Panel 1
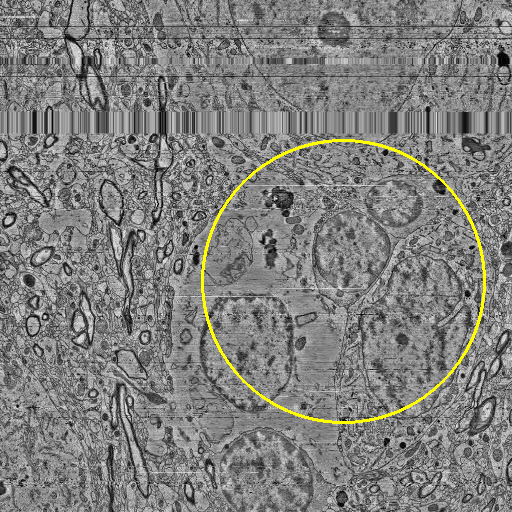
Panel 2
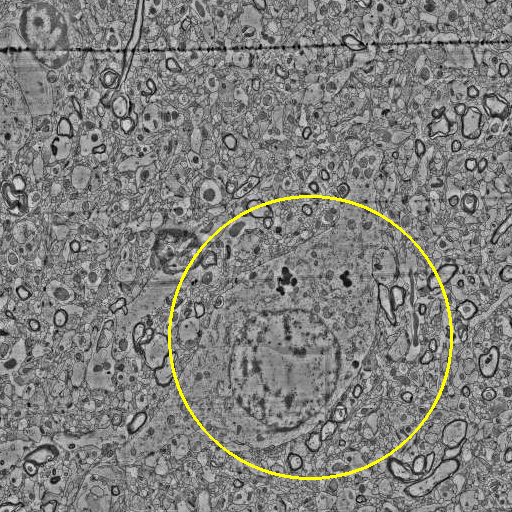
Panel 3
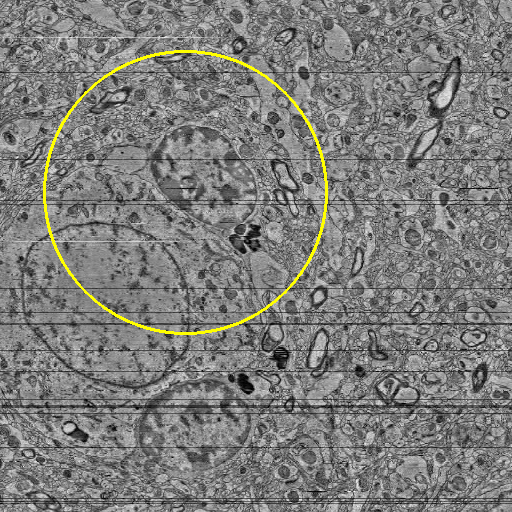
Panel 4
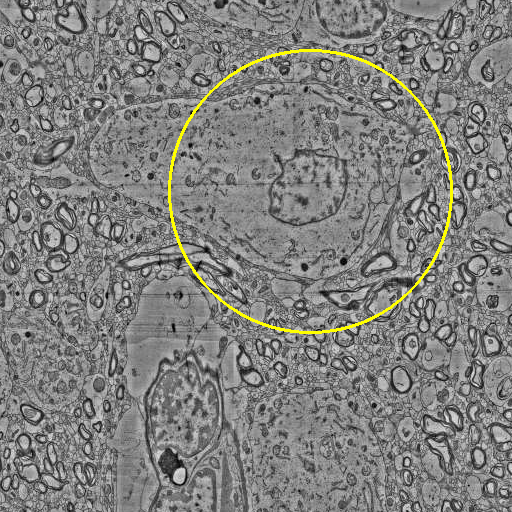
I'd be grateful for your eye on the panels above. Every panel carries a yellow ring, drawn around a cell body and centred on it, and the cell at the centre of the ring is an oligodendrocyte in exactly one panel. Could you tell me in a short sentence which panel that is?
Panel 1 is the one with it at the centre of the ring.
